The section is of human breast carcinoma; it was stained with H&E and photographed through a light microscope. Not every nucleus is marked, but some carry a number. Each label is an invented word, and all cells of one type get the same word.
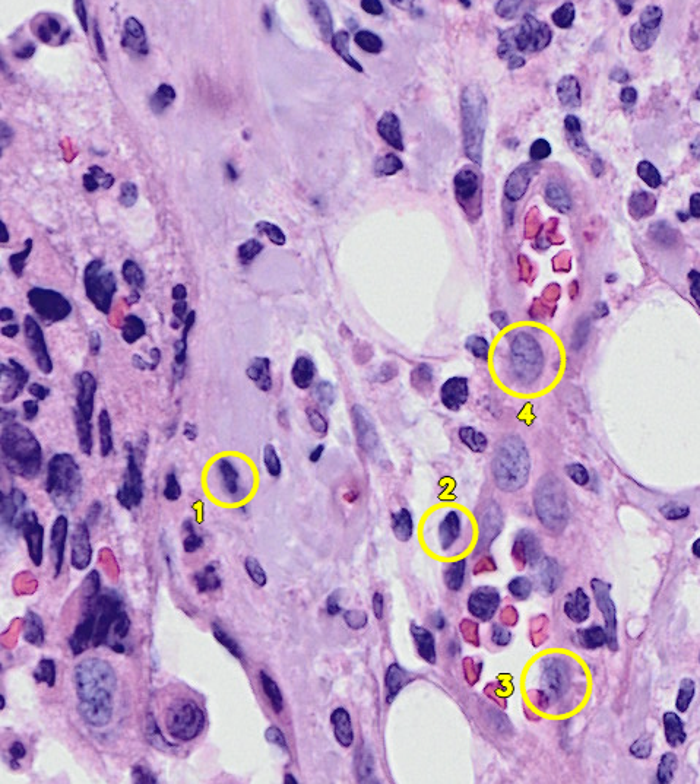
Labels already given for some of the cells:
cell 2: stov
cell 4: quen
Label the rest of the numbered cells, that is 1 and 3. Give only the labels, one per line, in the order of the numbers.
stov
quen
